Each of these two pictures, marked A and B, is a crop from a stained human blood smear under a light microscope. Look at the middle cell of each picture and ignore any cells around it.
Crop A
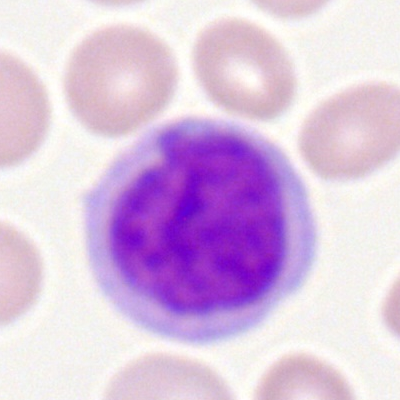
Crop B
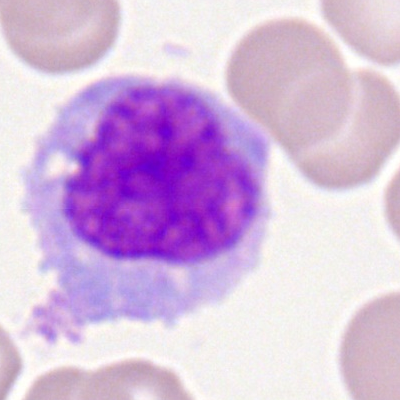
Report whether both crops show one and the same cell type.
yes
